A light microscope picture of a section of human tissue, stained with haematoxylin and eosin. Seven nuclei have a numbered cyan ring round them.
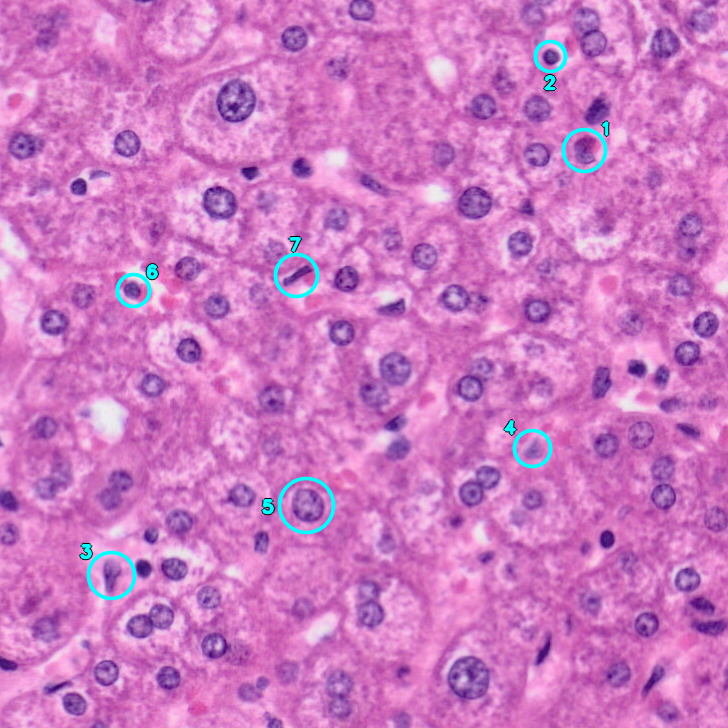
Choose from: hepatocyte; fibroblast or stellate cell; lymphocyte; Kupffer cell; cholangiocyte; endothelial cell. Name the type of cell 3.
Kupffer cell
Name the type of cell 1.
endothelial cell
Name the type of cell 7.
endothelial cell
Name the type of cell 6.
lymphocyte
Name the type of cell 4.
endothelial cell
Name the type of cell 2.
lymphocyte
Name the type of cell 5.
hepatocyte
